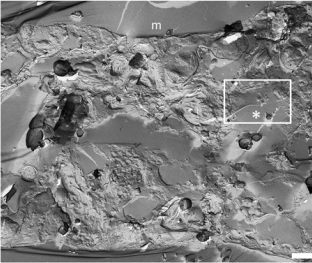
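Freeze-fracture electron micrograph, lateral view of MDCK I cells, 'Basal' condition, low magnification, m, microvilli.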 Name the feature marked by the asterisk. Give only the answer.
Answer: Cavity.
